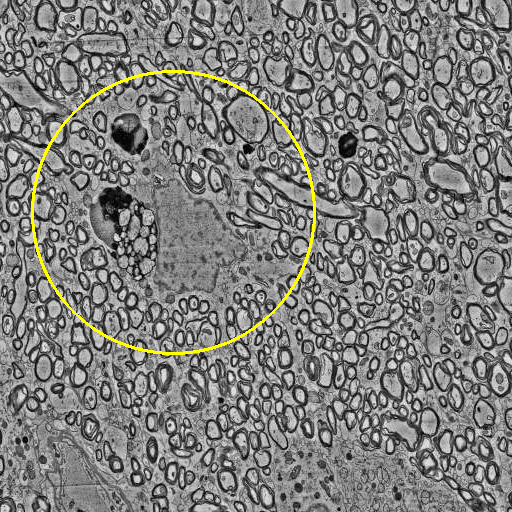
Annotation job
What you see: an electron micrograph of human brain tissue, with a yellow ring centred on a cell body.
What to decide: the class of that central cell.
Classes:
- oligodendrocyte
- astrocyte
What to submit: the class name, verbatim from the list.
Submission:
astrocyte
